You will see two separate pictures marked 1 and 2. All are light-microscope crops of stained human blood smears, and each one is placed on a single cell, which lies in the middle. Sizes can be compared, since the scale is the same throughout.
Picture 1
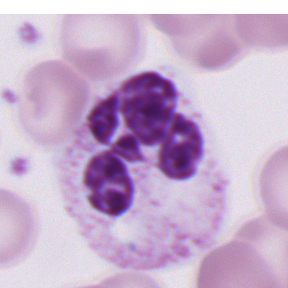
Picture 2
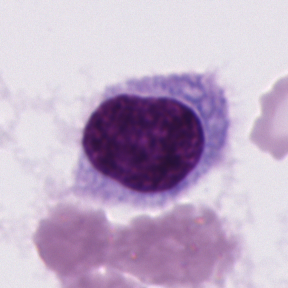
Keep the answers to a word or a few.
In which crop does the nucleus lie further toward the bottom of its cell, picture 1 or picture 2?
2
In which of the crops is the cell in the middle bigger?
1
